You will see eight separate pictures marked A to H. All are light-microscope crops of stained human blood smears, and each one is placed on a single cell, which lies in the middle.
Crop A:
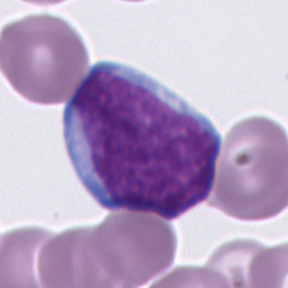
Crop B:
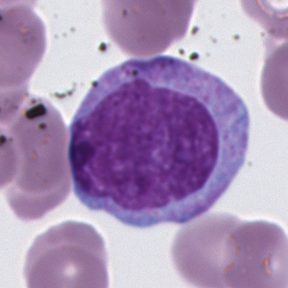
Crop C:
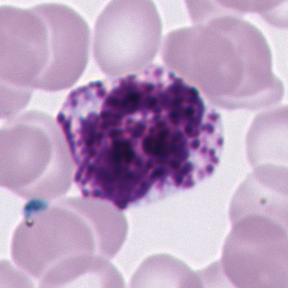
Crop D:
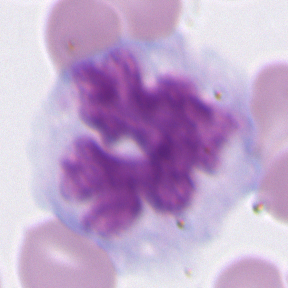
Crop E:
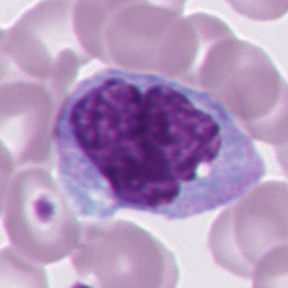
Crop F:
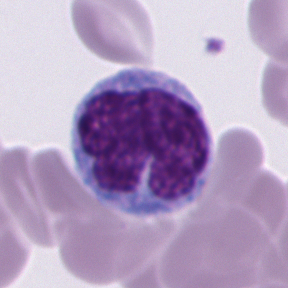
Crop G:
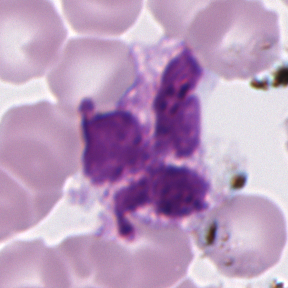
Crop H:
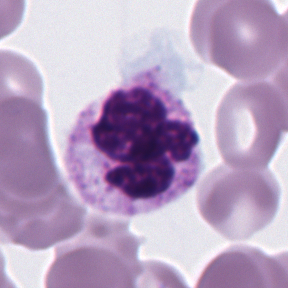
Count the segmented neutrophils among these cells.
2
